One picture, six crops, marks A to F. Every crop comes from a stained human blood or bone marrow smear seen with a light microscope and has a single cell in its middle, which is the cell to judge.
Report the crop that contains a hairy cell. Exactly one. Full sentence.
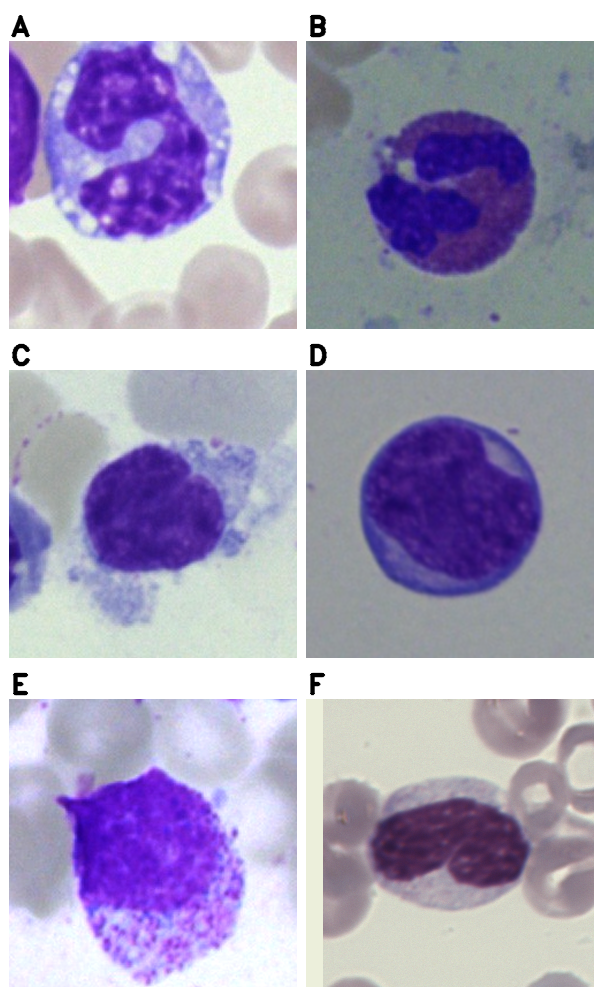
Of the cells presented, the one in crop C is a hairy cell.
